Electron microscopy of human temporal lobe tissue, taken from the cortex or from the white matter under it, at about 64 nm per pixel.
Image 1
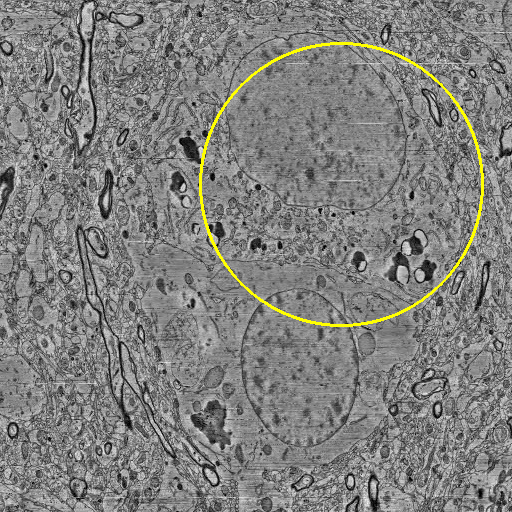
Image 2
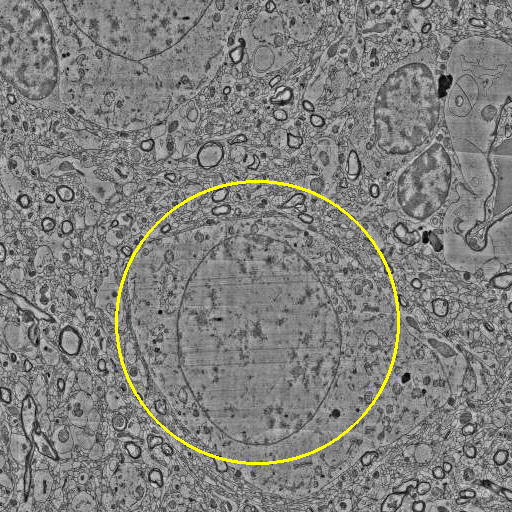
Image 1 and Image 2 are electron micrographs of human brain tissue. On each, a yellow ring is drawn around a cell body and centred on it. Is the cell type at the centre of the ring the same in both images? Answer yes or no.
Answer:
yes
